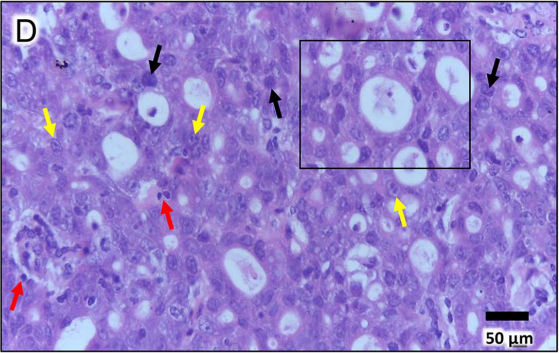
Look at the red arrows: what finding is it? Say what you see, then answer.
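The red arrows point to small, shrunken, densely dark nuclei. These nuclei are much smaller than those of neighbouring cells. The answer: pyknotic nuclei.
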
